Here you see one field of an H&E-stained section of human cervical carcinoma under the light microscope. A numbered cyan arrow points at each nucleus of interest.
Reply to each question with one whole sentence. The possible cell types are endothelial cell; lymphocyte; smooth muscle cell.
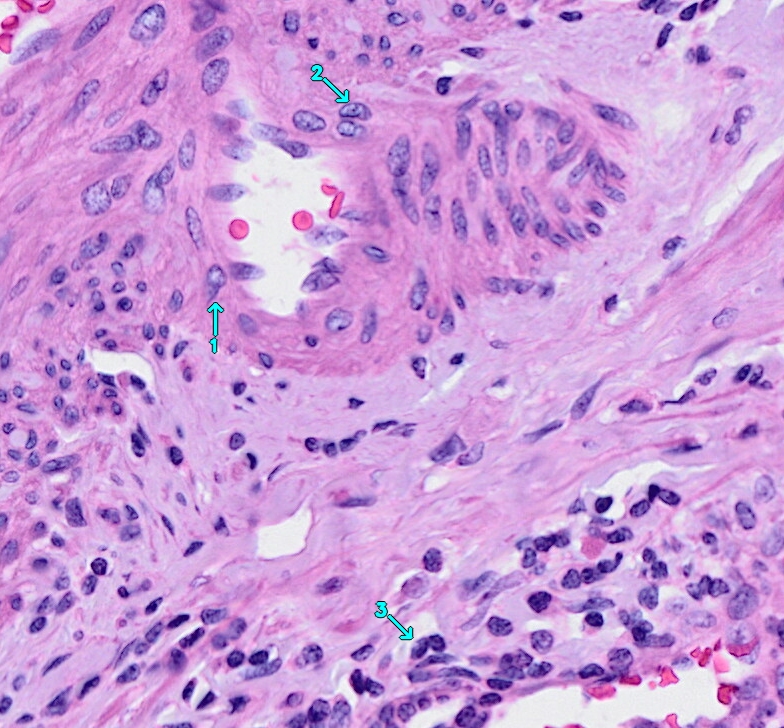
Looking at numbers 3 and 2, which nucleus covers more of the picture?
Nucleus 2 is larger, with an area about 1.5 times that of nucleus 3.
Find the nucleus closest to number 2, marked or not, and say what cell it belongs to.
Number 2 lies closest to the nucleus of a smooth muscle cell.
